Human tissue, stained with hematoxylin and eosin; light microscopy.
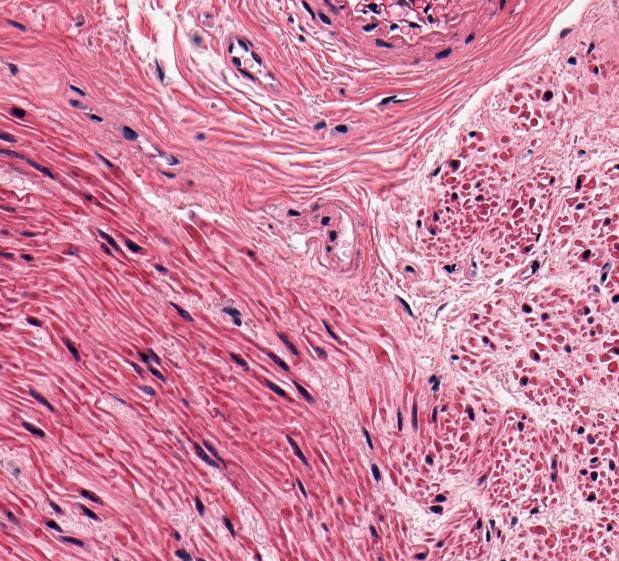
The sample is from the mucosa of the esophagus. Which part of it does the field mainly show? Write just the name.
smooth muscle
